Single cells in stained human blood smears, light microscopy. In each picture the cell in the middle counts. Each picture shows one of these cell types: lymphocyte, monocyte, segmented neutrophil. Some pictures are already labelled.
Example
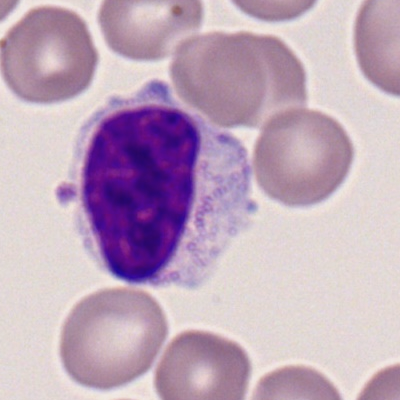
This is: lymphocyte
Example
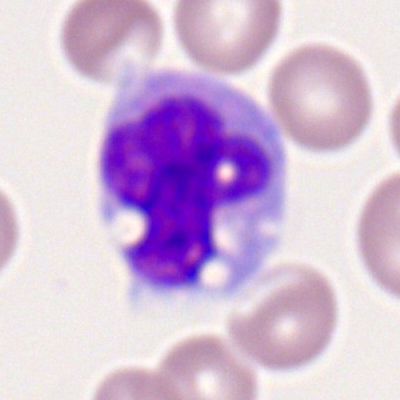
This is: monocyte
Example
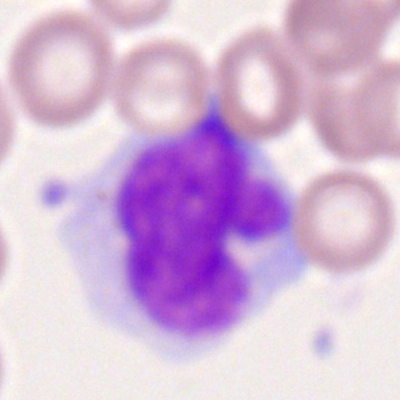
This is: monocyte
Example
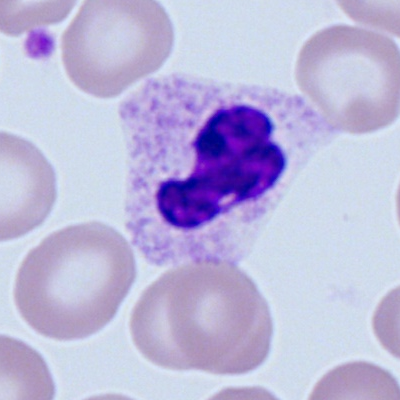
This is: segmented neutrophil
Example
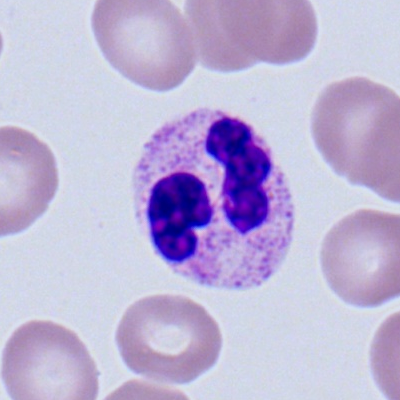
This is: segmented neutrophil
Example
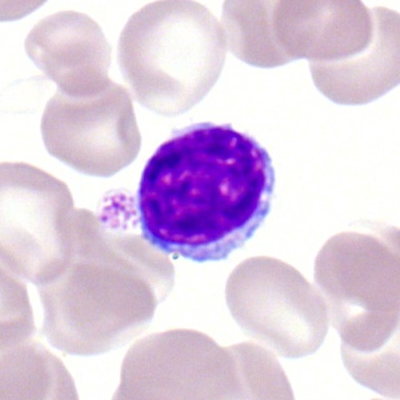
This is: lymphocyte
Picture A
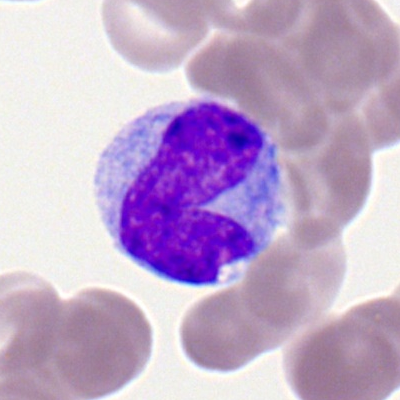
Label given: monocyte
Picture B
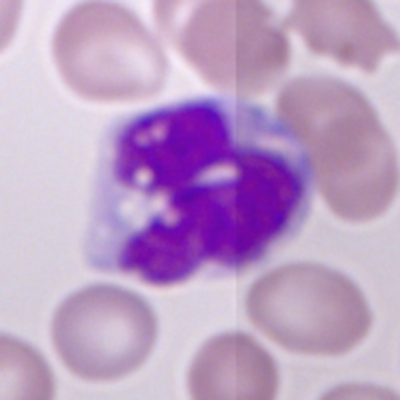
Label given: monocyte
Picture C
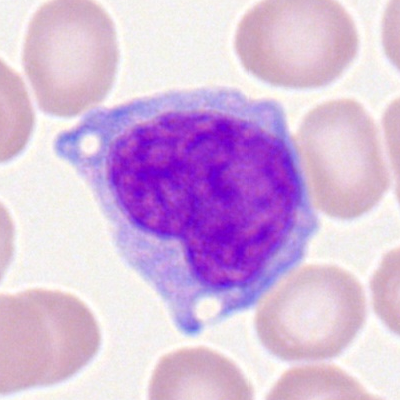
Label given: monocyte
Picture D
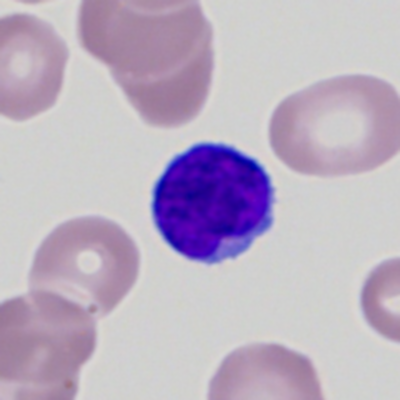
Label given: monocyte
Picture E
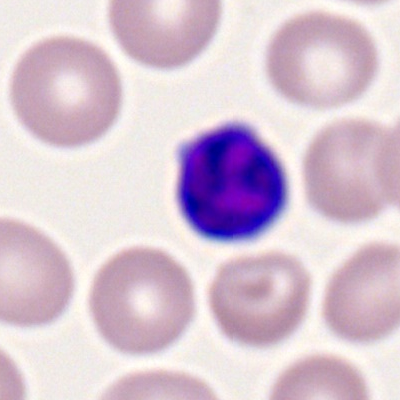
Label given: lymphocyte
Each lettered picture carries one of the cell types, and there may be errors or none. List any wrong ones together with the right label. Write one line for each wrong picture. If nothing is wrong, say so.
D should be lymphocyte, not monocyte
